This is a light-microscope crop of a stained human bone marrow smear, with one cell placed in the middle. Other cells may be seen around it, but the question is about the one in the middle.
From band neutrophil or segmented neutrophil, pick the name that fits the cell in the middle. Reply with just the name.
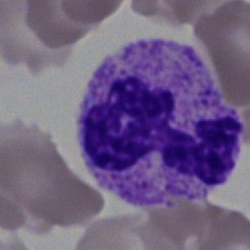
segmented neutrophil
